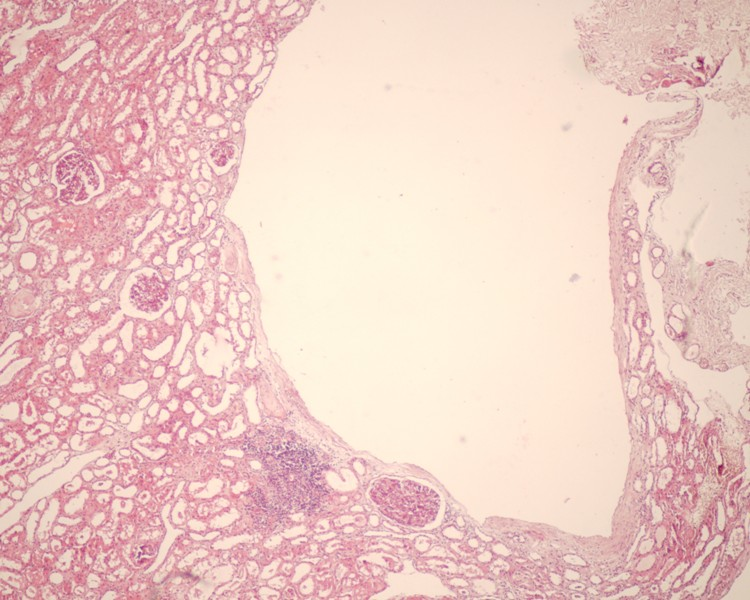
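At low power, kidney tissue surrounds a large empty cavity whose wall is a thin rim of flattened cells and pale pink fibrous tissue. Around it lie many tubules cut in cross and long section, some with narrow pink walls and widened clear lumens. Several round glomeruli, tufts of capillary loops within a clear capsular space, are scattered through the tissue, one lying close to the cavity wall. Below, between tubules, a dense purple patch of small round dark nuclei marks a collection of lymphocytes in the interstitium. This is a renal cyst lined by flattened cells in parenchyma with tubular atrophy and an interstitial lymphocytic aggregate.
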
